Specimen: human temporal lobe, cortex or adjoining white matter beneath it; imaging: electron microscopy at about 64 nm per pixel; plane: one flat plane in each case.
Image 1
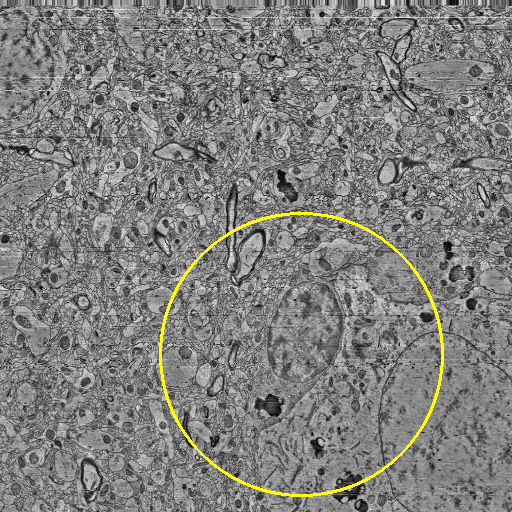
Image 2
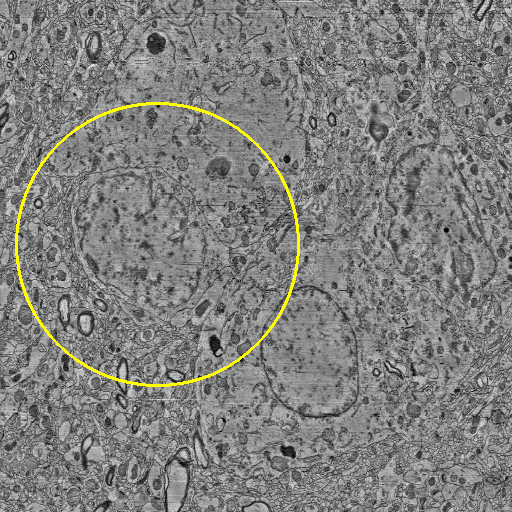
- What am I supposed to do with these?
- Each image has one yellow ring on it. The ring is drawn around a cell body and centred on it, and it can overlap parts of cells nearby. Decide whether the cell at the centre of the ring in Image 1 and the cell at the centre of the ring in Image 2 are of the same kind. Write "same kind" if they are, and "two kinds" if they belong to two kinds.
two kinds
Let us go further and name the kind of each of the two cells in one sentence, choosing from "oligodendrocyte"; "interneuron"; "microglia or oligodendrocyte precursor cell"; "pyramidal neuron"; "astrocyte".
The ring of the first picture is on an oligodendrocyte, the ring of the second on an interneuron.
